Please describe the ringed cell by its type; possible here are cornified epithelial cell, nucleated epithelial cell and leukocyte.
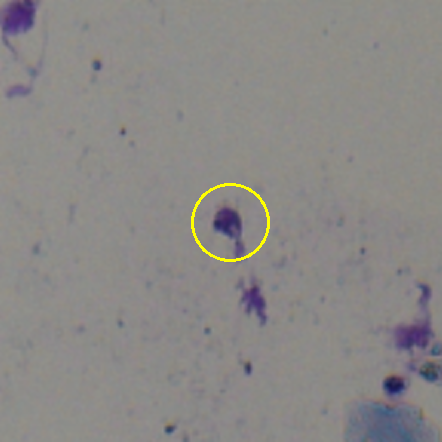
The yellow ring marks a leukocyte.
